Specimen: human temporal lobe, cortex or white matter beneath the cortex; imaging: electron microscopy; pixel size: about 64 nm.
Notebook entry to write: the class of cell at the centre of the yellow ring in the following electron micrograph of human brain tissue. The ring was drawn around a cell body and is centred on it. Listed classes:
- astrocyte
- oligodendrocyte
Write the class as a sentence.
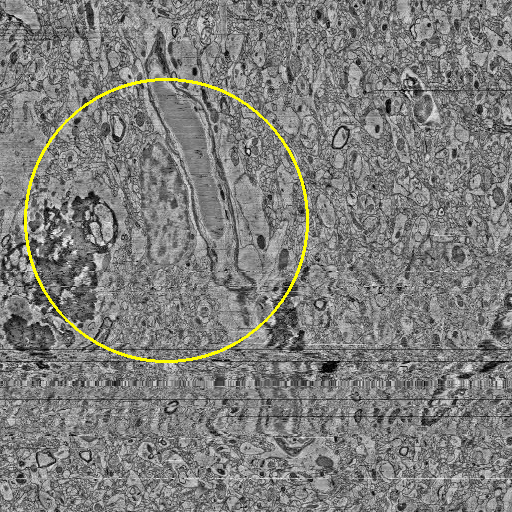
The yellow ring sits on an oligodendrocyte.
